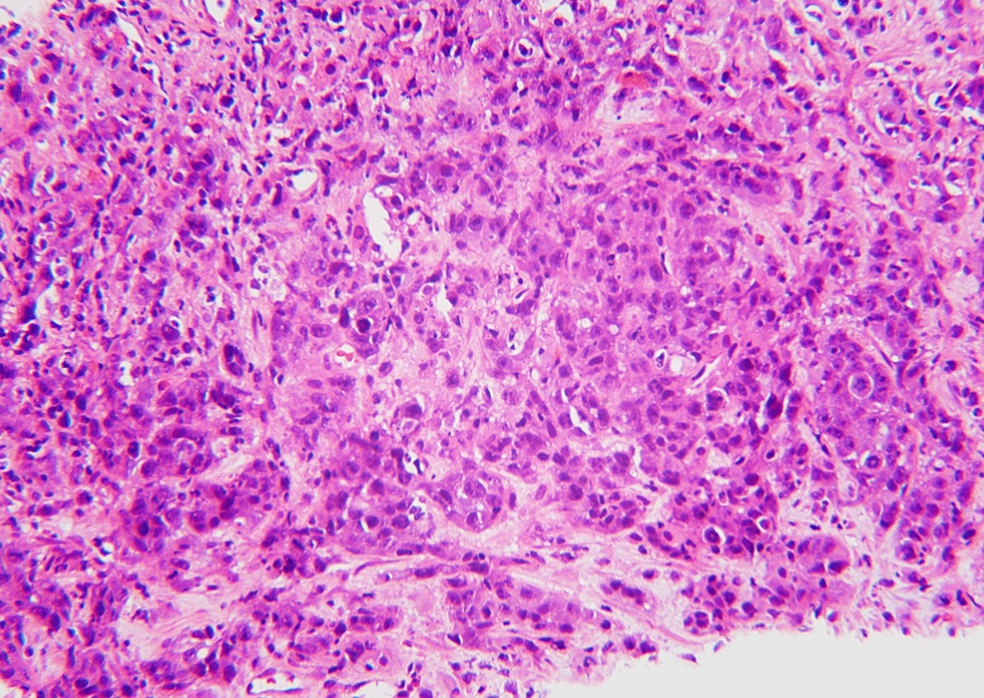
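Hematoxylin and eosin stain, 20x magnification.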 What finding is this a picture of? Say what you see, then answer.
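Many nuclei are big relative to their cells. Nuclei stain dark purple. Some nuclei are irregular in outline.
Answer: large, hyperchromatic nuclei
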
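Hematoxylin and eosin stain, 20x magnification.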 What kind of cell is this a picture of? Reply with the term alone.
Tumor cells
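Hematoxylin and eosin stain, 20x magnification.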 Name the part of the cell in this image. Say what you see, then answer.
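Several enlarged nuclei contain a distinct dark dot within a paler nucleus. That points to this answer: prominent nucleoli.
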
